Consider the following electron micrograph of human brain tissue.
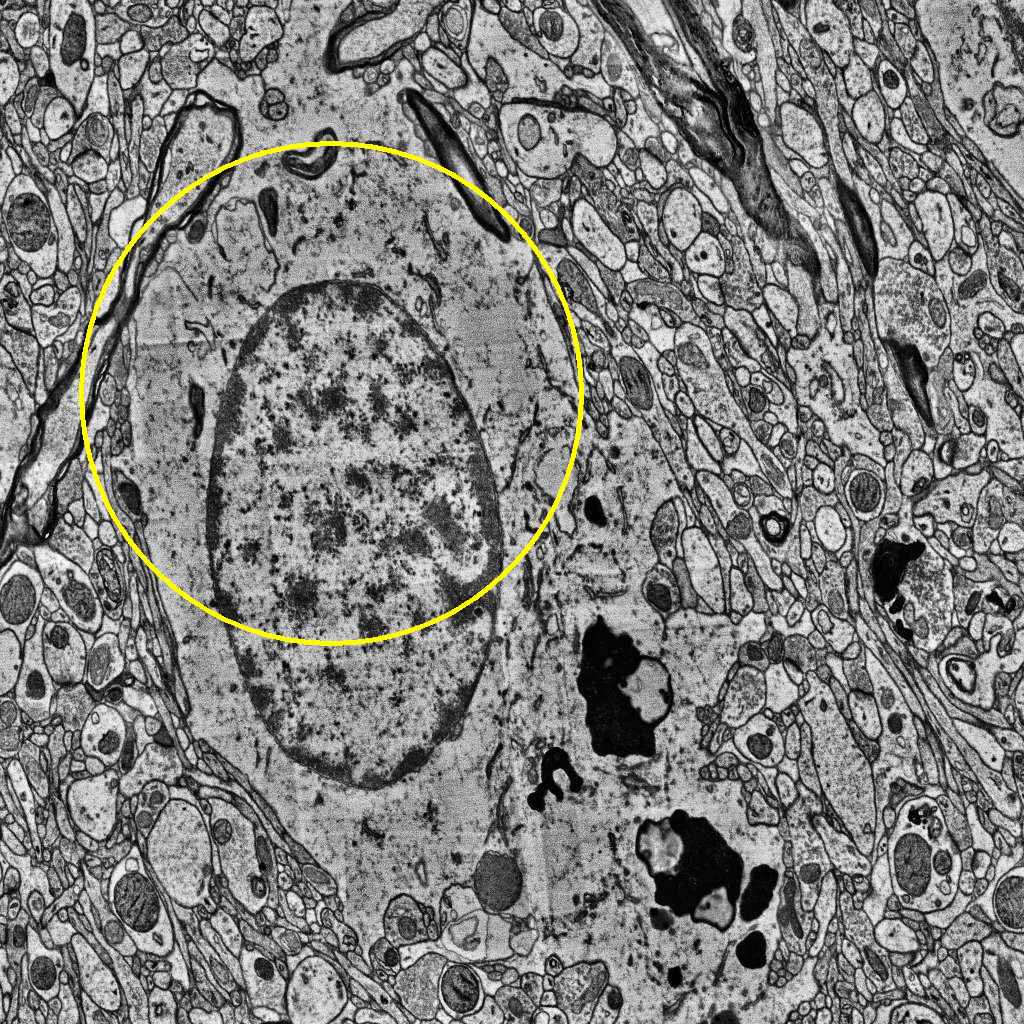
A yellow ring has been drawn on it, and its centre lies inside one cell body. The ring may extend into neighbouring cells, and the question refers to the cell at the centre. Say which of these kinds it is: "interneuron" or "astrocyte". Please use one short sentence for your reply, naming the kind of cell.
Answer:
The centre of the ring falls on an astrocyte.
